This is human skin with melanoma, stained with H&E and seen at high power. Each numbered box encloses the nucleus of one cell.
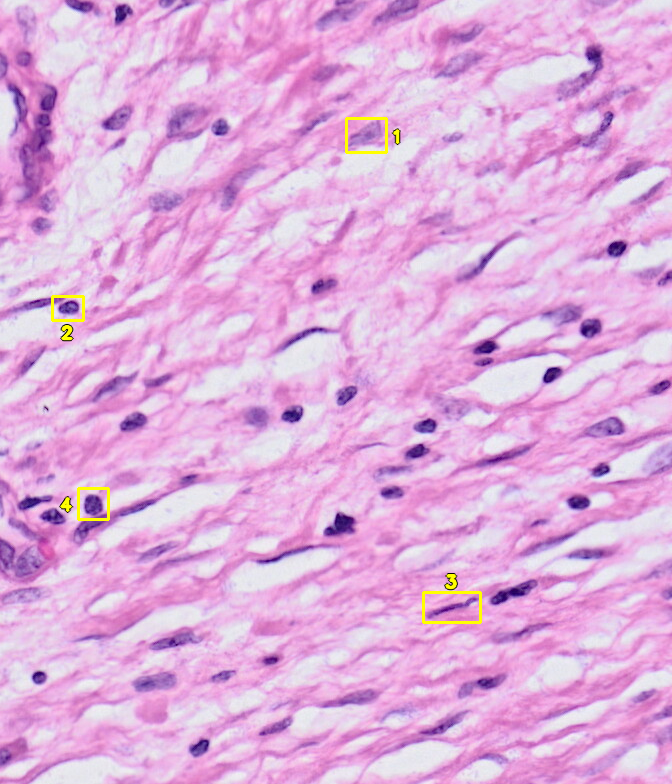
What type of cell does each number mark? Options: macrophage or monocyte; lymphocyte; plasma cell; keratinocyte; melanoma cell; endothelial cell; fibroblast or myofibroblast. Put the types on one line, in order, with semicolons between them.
fibroblast or myofibroblast; lymphocyte; fibroblast or myofibroblast; lymphocyte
